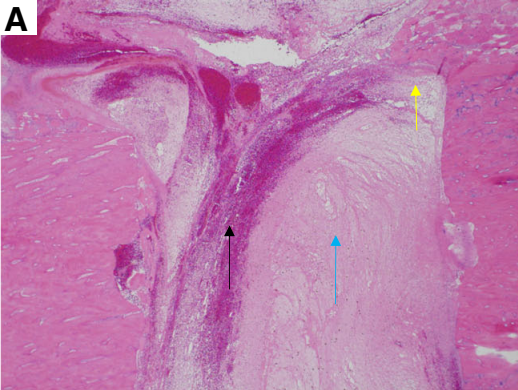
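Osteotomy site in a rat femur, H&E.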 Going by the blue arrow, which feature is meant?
Fibrin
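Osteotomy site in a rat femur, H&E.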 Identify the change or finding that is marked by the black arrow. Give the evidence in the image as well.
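A dense deep red band between the bone ends. Deeper red than the surrounding pale material.
Hemorrhage.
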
